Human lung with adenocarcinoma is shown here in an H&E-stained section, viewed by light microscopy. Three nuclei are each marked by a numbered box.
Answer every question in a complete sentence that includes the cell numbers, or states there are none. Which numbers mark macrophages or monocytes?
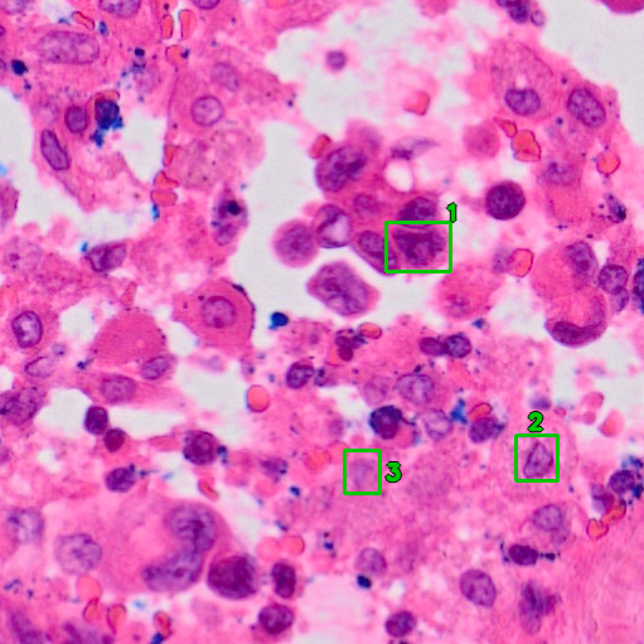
Within this tissue, the cells numbered 2 and 3 are macrophages or monocytes.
